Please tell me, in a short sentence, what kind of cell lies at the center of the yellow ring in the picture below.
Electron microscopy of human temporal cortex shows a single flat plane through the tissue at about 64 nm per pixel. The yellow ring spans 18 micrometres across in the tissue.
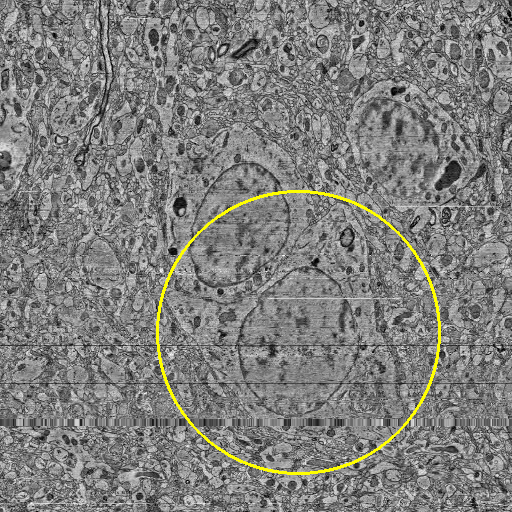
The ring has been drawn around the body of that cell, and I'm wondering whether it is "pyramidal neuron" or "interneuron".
The cell at the center of the ring is a pyramidal neuron.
